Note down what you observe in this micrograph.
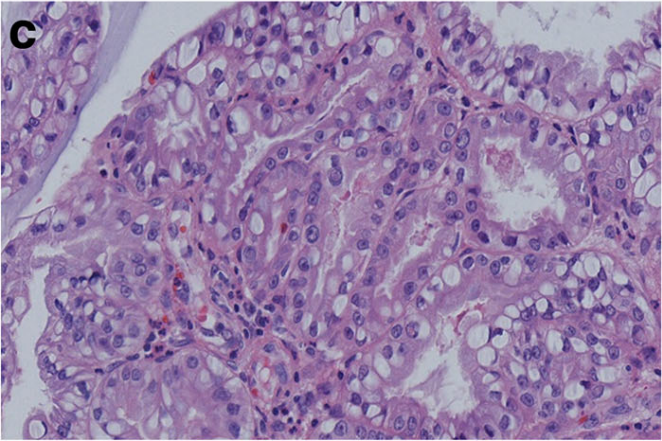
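At high power these tumor cells line glands and tubules and have round nuclei with fine chromatin and small nucleoli. The cytoplasm ranges from pale pink to clear, and many cells hold clear round vacuoles.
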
